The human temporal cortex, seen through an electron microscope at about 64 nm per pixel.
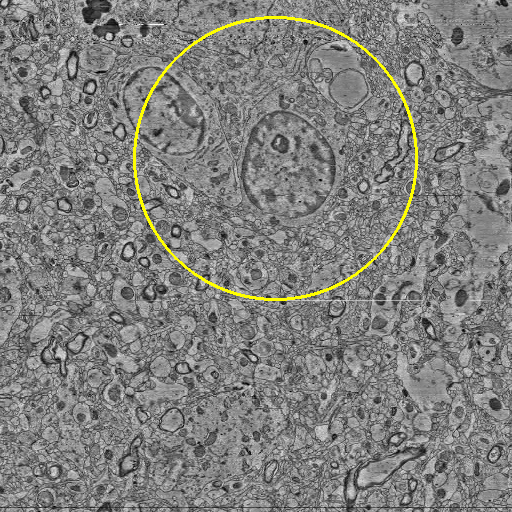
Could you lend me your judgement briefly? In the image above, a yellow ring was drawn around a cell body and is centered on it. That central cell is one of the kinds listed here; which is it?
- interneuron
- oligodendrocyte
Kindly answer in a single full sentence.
Going by the list, an oligodendrocyte is the kind at the ring's center in the picture.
